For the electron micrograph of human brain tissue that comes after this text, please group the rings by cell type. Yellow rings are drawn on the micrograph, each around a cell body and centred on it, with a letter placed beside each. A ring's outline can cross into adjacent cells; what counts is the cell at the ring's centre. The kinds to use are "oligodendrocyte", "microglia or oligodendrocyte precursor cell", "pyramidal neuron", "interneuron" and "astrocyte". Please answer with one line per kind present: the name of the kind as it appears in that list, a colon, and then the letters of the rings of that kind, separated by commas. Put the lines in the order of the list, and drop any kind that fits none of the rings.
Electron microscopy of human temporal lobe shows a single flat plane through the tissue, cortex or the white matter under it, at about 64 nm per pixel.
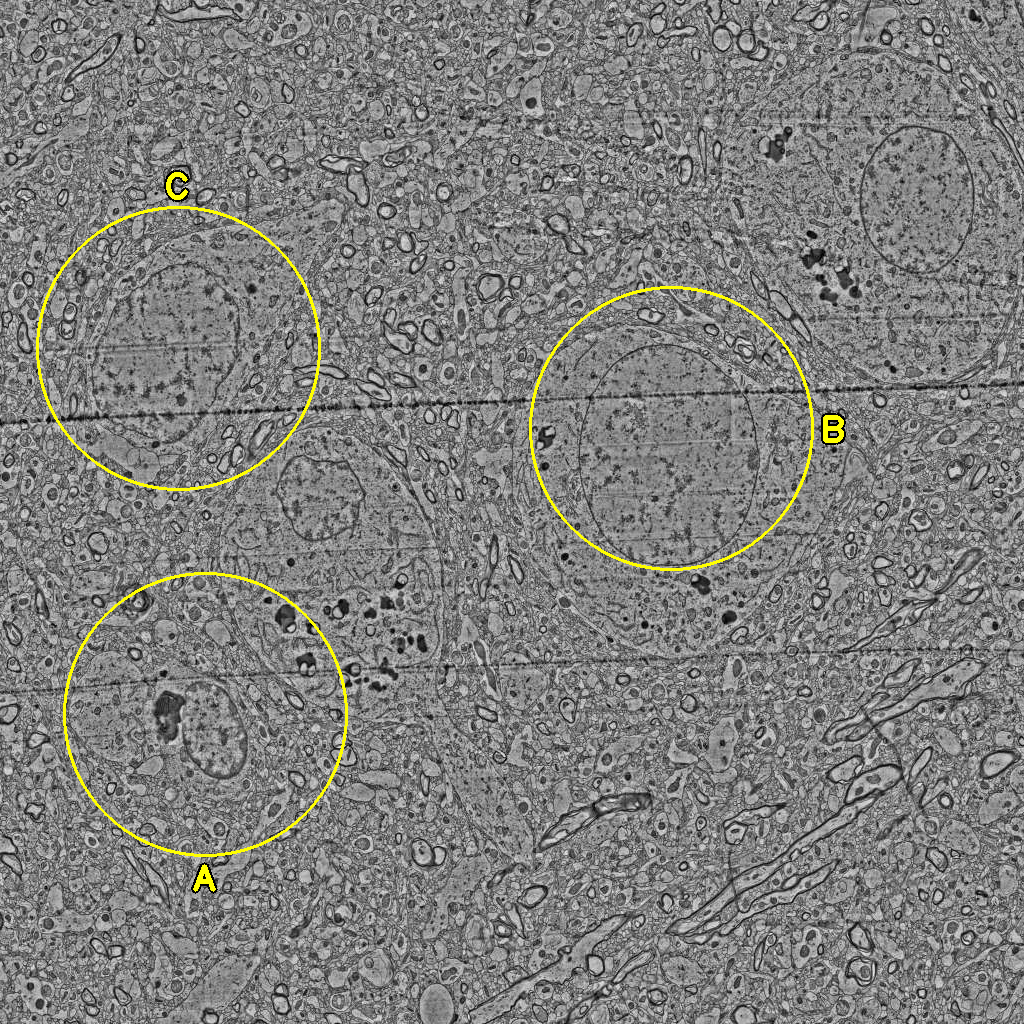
oligodendrocyte: A
pyramidal neuron: B, C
